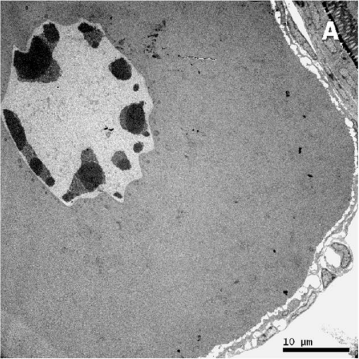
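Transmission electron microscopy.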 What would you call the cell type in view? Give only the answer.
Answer: Oocytes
